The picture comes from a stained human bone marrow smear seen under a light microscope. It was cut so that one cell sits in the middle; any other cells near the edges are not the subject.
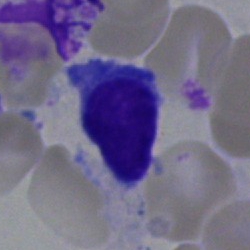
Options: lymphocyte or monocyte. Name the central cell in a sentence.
Located at the centre of the crop is a lymphocyte.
